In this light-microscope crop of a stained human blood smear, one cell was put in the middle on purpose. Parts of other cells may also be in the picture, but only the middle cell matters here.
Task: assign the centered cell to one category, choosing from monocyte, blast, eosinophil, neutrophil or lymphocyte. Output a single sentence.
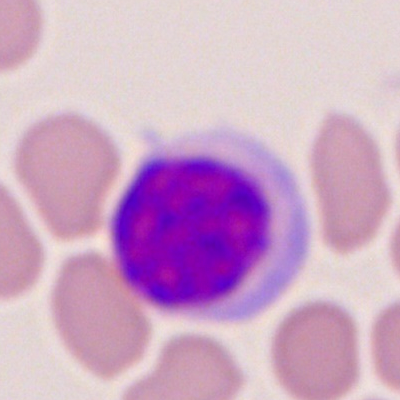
Answering briefly, the cell in the middle is a lymphocyte.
